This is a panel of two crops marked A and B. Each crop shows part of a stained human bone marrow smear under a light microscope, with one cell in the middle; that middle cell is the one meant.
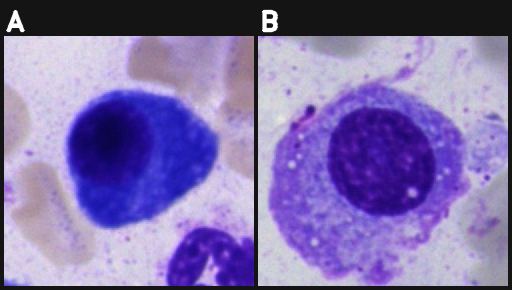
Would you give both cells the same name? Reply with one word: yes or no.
yes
